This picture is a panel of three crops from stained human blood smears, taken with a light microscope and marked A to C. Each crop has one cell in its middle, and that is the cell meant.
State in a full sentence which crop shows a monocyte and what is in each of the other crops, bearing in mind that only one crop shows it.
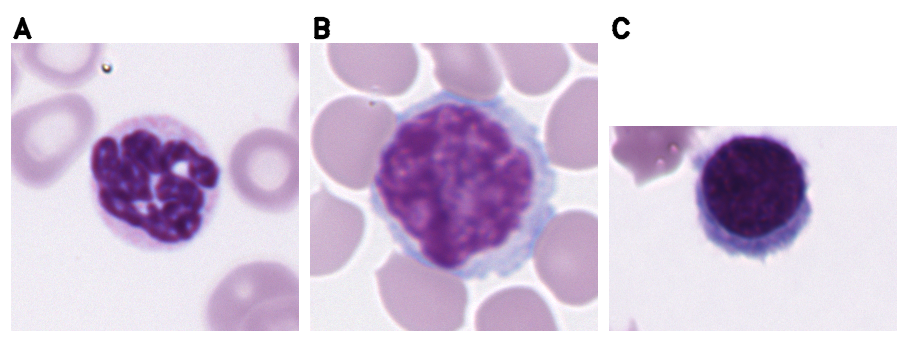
Crop B should be logged as a monocyte, while crop A is a segmented neutrophil and crop C is a hairy cell.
